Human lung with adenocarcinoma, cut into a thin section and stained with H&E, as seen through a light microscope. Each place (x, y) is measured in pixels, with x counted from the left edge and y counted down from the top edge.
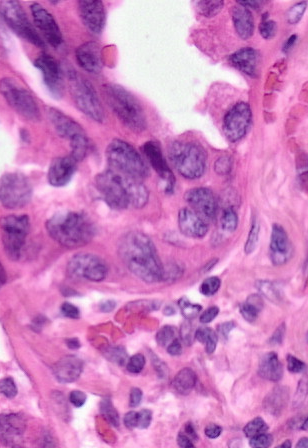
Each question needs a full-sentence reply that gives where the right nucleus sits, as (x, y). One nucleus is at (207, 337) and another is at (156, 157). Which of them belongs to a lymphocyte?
The nucleus at (207, 337), rather than the other, belongs to a lymphocyte.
